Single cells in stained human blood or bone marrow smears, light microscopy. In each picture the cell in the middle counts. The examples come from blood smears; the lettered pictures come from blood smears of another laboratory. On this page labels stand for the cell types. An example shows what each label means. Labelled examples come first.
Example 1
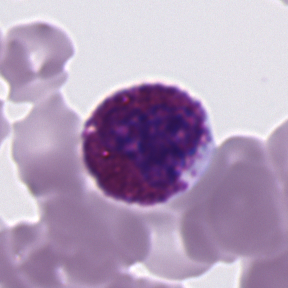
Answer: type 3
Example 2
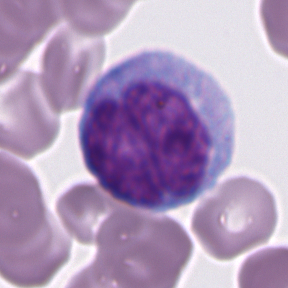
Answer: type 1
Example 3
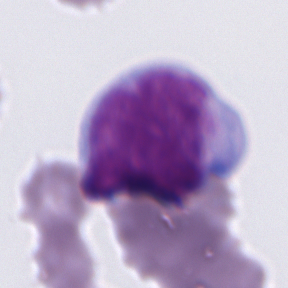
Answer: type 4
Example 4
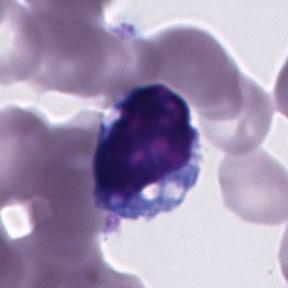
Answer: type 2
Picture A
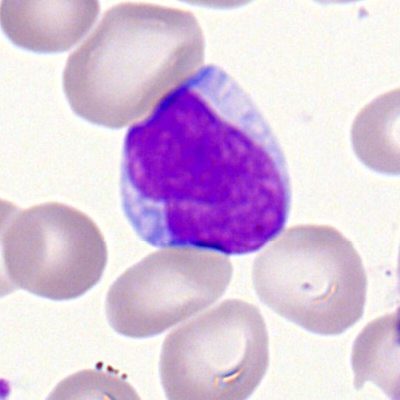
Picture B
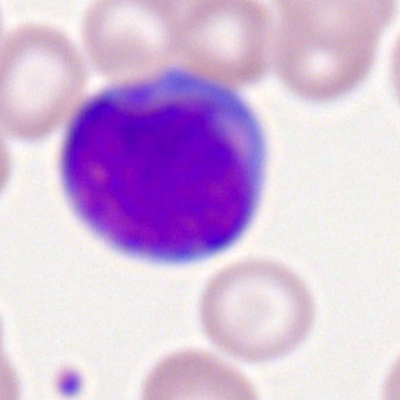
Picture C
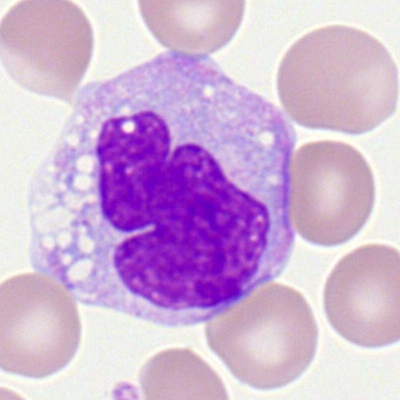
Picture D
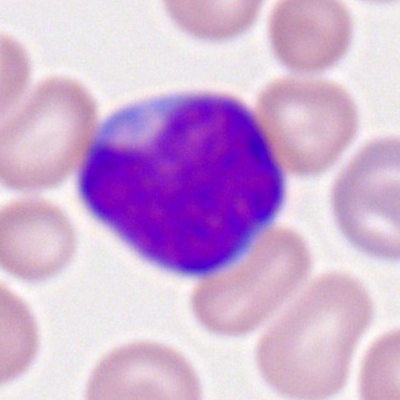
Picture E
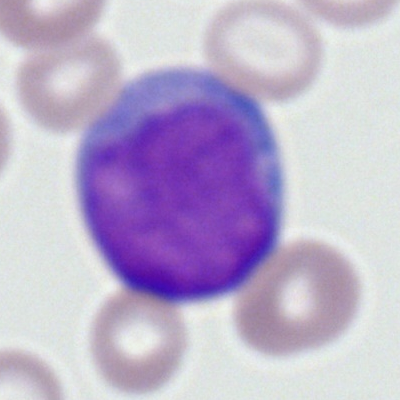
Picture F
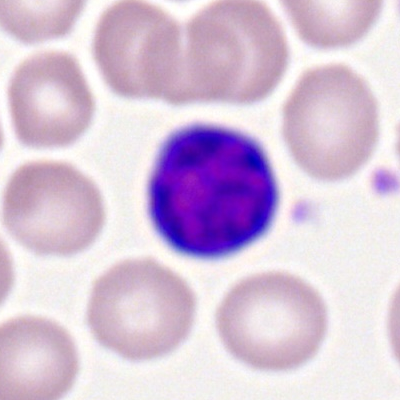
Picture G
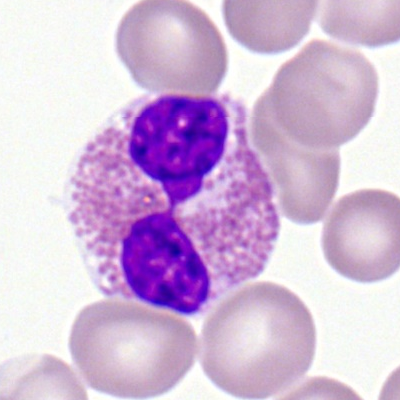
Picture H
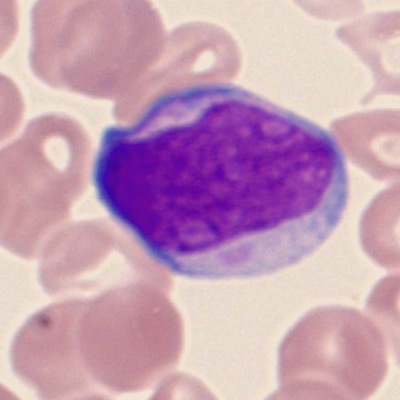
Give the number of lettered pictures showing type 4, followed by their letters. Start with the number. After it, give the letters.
Count: 5 (A, B, D, E, H)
